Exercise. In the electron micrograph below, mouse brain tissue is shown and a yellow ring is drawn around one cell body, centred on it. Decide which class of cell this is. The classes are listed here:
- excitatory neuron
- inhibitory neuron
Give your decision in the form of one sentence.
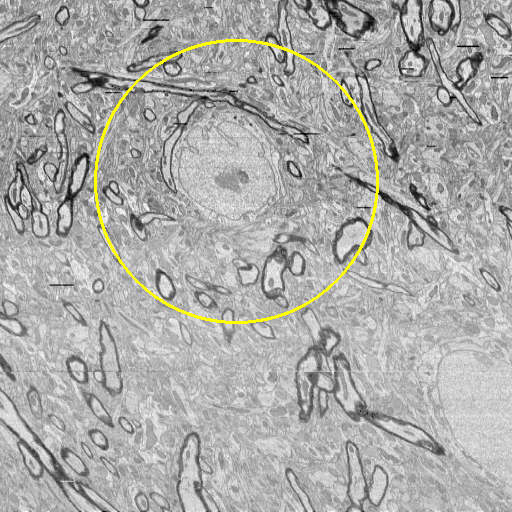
The cell body marked by the ring belongs to an inhibitory neuron.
